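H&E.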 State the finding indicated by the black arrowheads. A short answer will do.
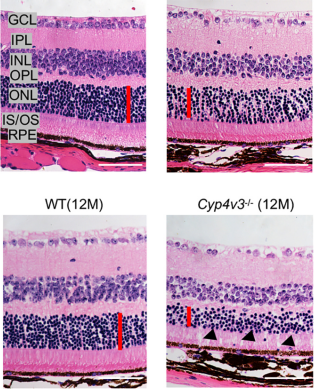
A: Cavity.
